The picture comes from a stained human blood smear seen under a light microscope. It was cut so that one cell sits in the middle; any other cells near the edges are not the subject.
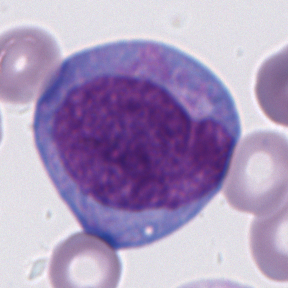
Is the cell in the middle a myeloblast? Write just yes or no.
no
